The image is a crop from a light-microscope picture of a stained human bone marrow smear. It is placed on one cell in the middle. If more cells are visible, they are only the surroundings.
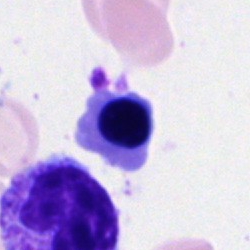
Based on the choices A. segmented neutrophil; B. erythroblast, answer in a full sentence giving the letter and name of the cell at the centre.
The cell at the centre is an erythroblast, and option B accordingly is correct.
